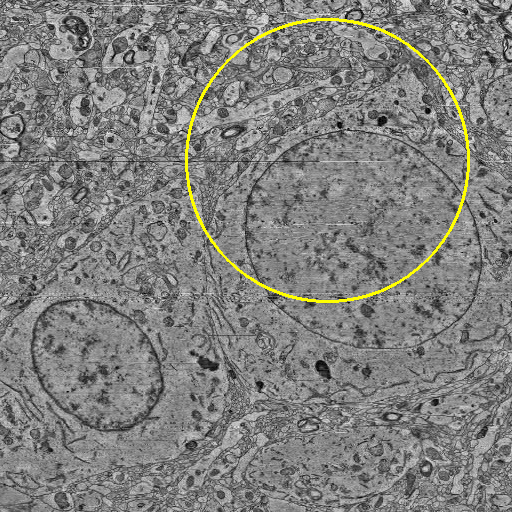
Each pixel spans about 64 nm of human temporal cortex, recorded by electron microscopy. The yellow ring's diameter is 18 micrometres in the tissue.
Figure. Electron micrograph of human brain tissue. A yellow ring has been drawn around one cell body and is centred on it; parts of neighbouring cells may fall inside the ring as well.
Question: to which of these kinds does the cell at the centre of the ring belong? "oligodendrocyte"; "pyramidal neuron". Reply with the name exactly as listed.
pyramidal neuron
